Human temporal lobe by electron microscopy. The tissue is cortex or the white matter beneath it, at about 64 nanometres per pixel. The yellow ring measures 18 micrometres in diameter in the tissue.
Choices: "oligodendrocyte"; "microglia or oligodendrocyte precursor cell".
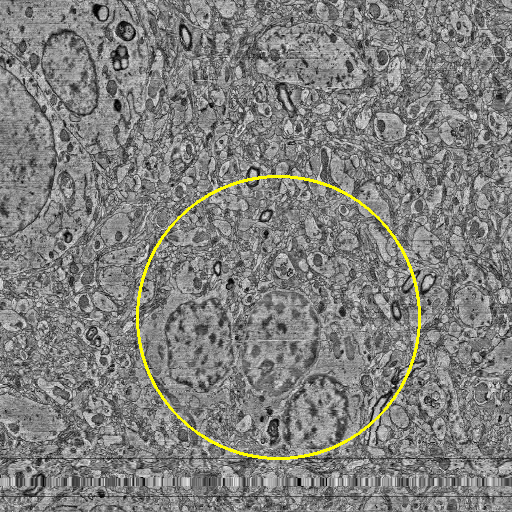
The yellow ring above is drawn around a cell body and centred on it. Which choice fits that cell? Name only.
oligodendrocyte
